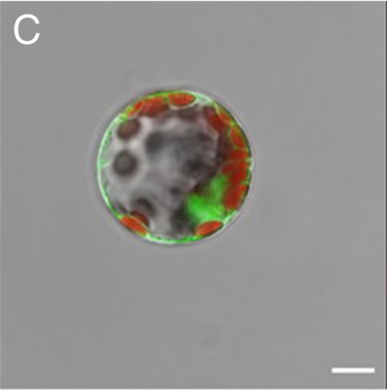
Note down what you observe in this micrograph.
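This is a round mesophyll protoplast seen in bright field with fluorescence overlaid. Green fluorescence forms a rim around the cell and a bright compact patch at the lower right, near the chloroplasts.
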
